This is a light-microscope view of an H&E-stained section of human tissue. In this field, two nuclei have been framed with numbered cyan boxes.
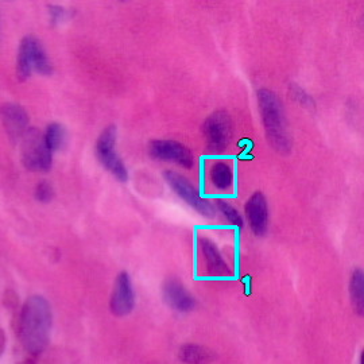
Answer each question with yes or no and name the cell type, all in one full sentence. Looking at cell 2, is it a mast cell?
Yes, in this tissue section, number 2 is a mast cell.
